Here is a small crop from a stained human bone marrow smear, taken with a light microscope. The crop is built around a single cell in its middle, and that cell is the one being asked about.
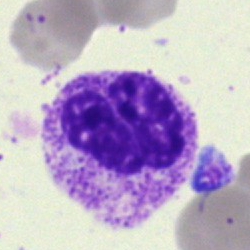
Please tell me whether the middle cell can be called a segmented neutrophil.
yes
